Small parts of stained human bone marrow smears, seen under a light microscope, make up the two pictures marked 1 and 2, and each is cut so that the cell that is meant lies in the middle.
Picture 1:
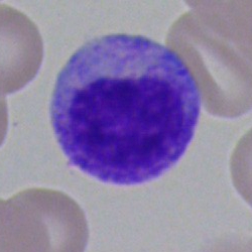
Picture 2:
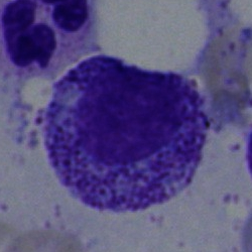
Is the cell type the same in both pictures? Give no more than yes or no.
yes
